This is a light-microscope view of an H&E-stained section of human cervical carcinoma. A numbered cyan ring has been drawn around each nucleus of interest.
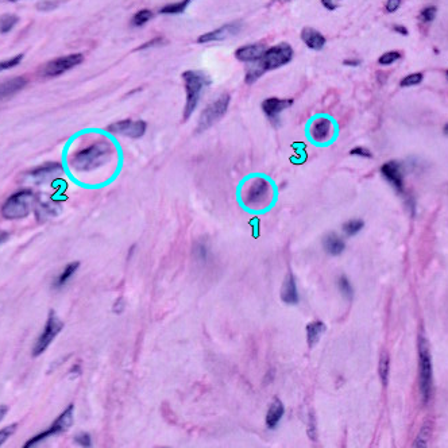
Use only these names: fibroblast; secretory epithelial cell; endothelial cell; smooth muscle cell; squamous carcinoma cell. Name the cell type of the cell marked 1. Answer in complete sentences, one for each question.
Looking at the numbered marks, cell 1 is a smooth muscle cell.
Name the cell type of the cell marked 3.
Heads up, the cell numbered 3 is a smooth muscle cell.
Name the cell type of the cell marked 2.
Within this field of view, the cell labelled 2 is an endothelial cell.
